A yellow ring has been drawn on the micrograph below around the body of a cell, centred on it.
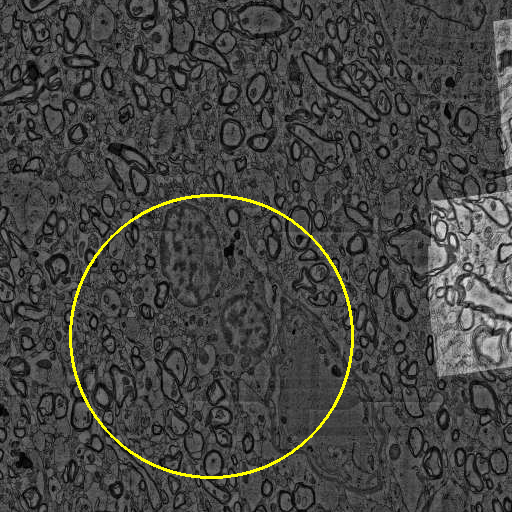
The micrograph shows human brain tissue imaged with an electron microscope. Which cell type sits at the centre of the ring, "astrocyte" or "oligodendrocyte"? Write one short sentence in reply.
The cell sitting at the centre of the ring is an oligodendrocyte.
